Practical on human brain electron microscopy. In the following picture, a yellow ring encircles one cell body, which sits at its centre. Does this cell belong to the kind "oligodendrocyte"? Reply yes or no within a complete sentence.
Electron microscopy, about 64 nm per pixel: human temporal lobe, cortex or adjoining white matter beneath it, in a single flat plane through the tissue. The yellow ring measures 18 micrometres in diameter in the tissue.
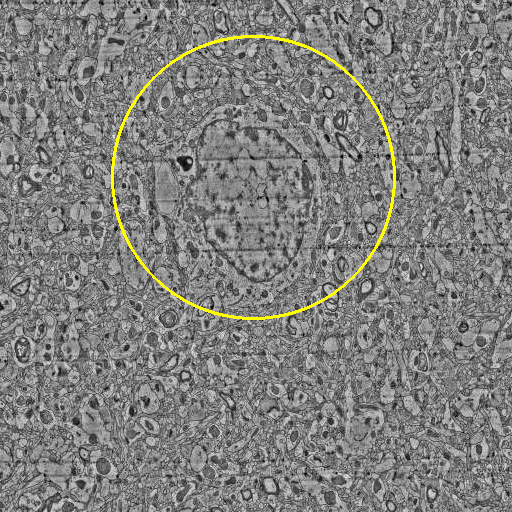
No, the cell lying within the ring at its centre is another kind.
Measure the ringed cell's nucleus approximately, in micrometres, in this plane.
About 10 by 8 micrometres in this plane.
